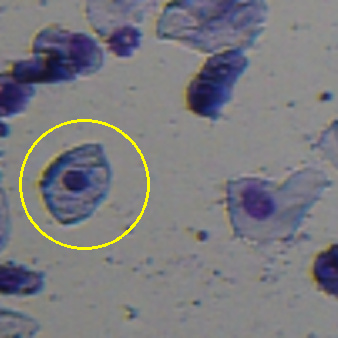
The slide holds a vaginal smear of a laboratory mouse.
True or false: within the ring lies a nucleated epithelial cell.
True: a nucleated epithelial cell lies within the ring.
